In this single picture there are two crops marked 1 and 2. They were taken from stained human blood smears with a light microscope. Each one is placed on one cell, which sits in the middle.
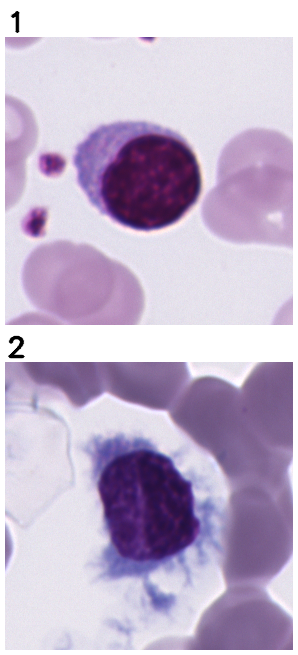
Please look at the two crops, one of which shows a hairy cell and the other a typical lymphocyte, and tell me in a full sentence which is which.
Crop 1 is labelled a typical lymphocyte, and crop 2 is labelled a hairy cell.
